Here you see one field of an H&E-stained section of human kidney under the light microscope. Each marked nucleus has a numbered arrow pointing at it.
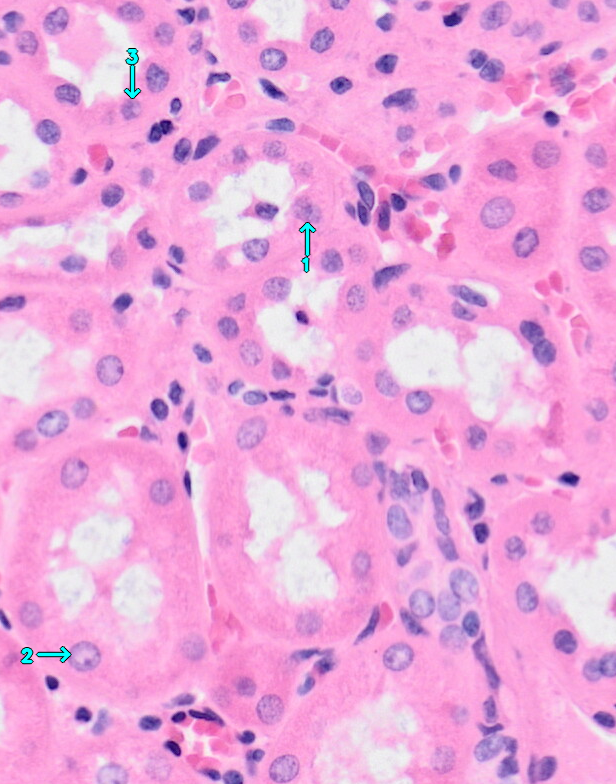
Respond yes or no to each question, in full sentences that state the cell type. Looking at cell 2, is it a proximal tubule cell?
Yes, number 2 marks a cell that is a proximal tubule cell.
